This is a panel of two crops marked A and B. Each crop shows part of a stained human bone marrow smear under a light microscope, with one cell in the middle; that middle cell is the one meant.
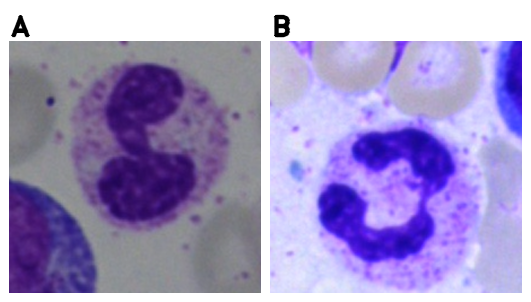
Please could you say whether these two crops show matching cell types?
yes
